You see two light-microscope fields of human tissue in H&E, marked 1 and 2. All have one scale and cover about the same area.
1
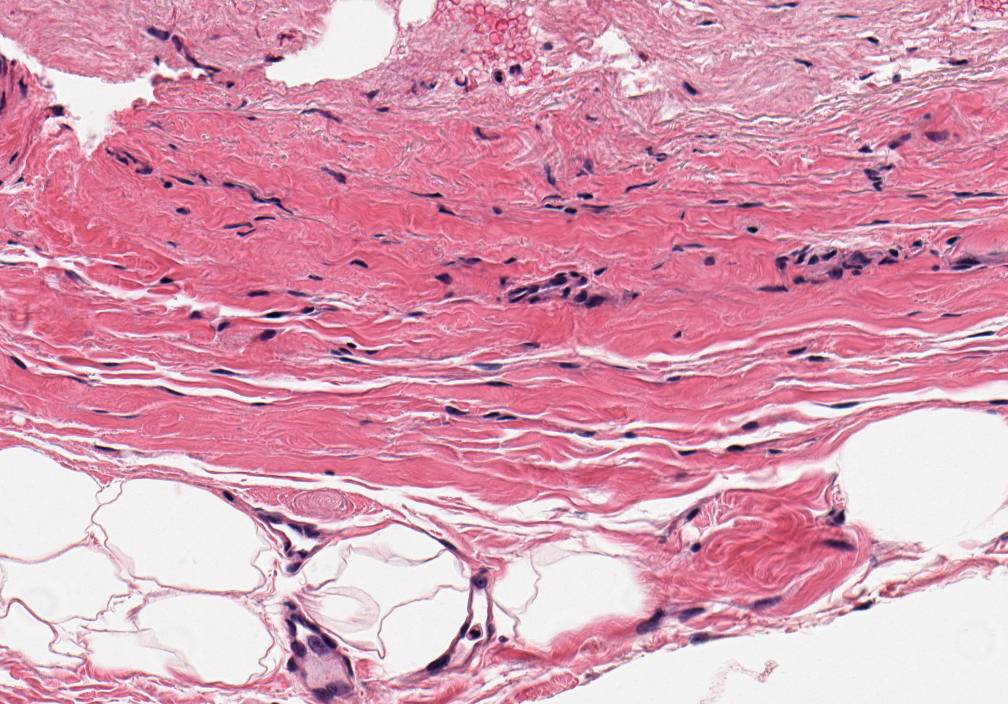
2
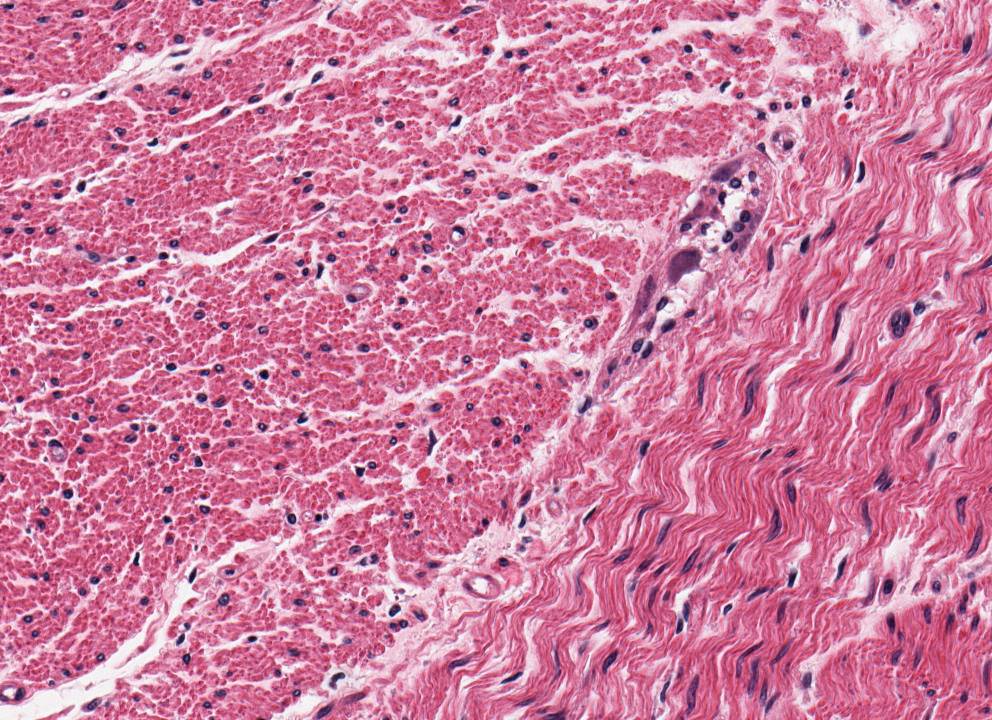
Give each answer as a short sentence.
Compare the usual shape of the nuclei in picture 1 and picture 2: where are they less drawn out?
It is picture 2 whose nuclei are the rounder.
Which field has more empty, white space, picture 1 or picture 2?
More of picture 1 is empty and white.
